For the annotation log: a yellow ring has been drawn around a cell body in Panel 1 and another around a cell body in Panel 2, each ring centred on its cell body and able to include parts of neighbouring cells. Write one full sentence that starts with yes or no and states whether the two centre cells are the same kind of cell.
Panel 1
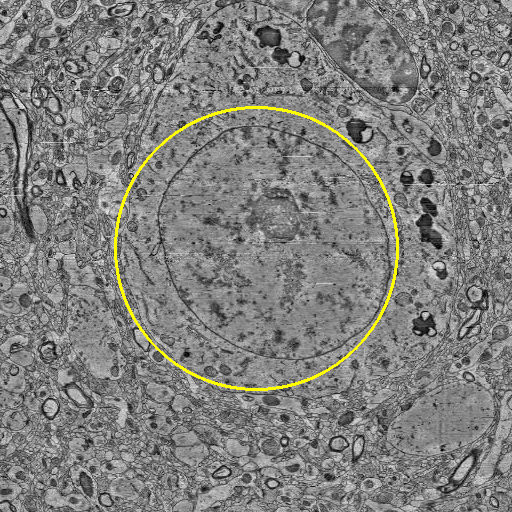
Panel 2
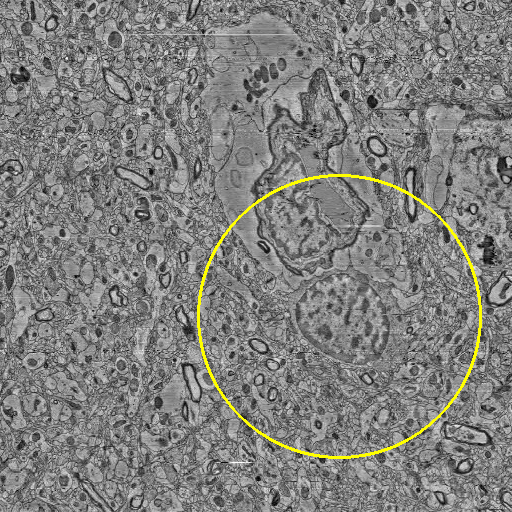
No, the two centre cells are two kinds of cell.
